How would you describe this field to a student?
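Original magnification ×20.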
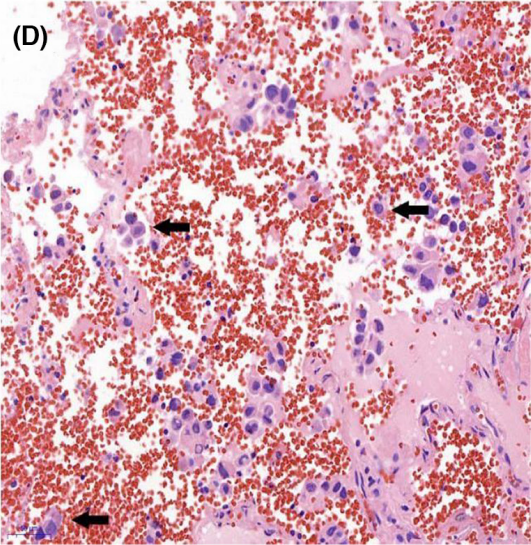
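This is lung tissue whose air spaces are filled with red blood cells, among which lie scattered single tumor cells. Pink amorphous material and thin alveolar walls run through the field.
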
